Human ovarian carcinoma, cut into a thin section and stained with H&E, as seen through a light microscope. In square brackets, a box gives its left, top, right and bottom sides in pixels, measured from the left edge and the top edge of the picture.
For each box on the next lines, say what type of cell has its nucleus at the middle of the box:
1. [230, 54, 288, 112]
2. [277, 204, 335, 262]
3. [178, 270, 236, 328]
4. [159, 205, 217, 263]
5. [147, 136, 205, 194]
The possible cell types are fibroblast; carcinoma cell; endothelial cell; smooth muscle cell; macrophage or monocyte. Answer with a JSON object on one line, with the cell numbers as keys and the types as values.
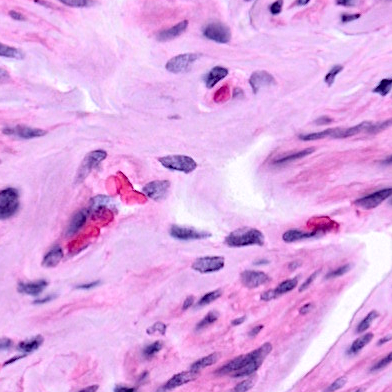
{"1": "fibroblast", "2": "endothelial cell", "3": "smooth muscle cell", "4": "fibroblast", "5": "fibroblast"}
